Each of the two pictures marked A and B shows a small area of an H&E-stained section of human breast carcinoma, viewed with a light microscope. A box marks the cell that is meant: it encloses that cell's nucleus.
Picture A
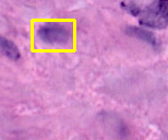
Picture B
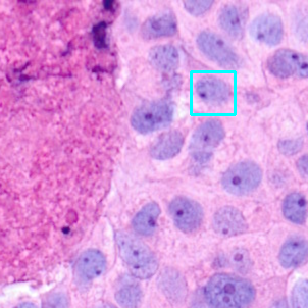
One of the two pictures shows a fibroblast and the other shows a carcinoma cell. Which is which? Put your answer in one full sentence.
The cell in picture A is a fibroblast, and the one in picture B is a carcinoma cell.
